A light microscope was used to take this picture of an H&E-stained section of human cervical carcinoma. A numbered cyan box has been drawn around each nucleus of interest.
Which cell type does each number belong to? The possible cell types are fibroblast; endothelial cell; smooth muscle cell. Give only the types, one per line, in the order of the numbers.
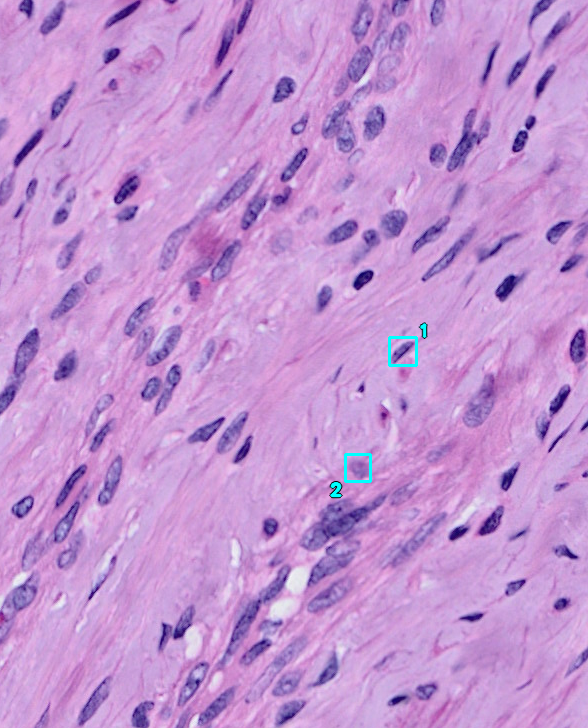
fibroblast
smooth muscle cell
